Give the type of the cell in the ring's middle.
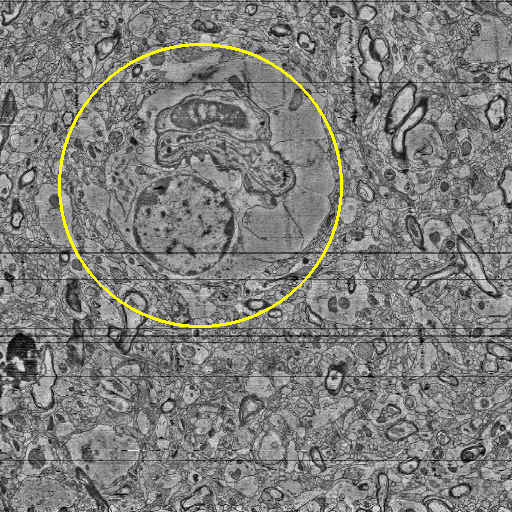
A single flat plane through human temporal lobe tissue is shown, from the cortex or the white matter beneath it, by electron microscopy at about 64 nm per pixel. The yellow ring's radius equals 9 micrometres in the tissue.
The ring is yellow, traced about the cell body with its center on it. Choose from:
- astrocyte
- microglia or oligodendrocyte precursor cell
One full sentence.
Here, a microglial cell or oligodendrocyte precursor cell is the cell lying at the center of the yellow ring.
